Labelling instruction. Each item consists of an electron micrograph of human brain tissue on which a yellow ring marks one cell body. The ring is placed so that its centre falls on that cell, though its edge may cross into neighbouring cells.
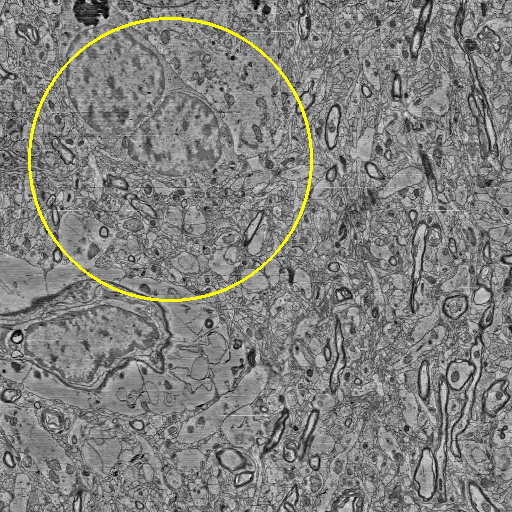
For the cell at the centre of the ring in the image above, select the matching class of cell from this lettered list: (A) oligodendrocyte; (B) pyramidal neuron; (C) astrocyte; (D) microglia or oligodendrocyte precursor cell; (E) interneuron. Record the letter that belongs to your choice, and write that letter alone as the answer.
A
